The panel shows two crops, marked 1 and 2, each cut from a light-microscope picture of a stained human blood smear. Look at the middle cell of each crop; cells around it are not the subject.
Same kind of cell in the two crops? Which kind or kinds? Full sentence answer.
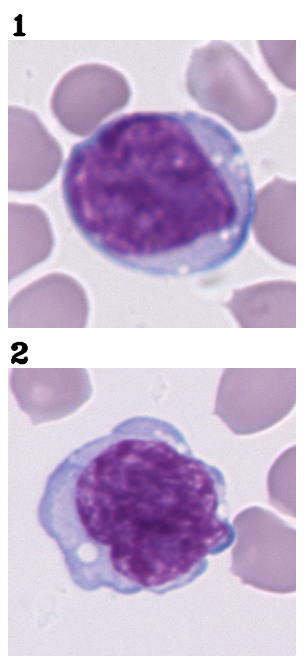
Yes, the middle cells in the two crops are myeloblasts.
